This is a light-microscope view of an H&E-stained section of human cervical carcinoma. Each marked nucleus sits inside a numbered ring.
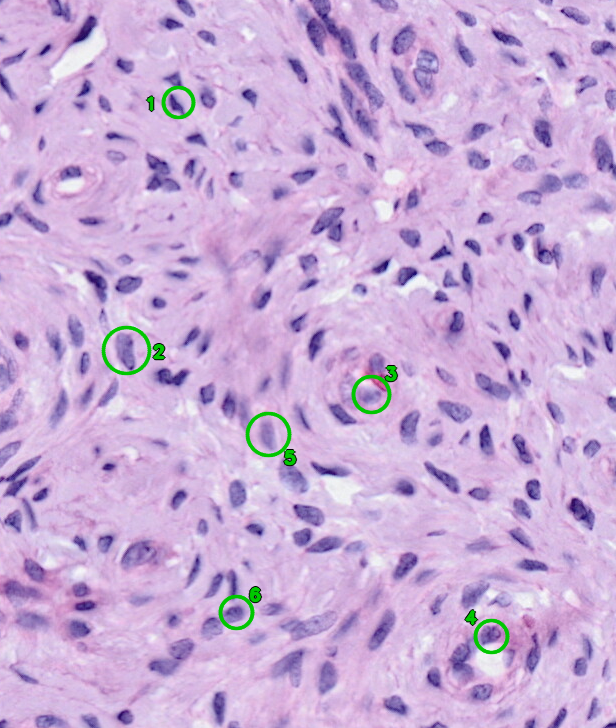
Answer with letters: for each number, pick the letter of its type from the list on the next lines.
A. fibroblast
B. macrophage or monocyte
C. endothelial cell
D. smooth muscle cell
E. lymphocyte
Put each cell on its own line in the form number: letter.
1: A
2: A
3: C
4: C
5: A
6: A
